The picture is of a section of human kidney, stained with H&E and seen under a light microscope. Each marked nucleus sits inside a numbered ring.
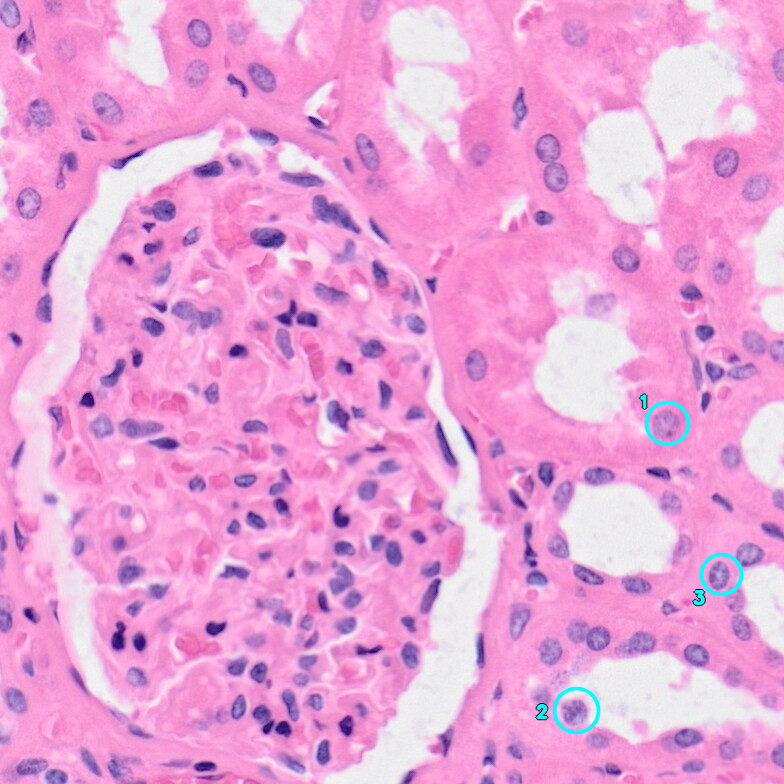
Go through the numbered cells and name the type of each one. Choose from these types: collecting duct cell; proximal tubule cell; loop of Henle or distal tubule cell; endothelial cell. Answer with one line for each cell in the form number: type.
1: proximal tubule cell
2: loop of Henle or distal tubule cell
3: loop of Henle or distal tubule cell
